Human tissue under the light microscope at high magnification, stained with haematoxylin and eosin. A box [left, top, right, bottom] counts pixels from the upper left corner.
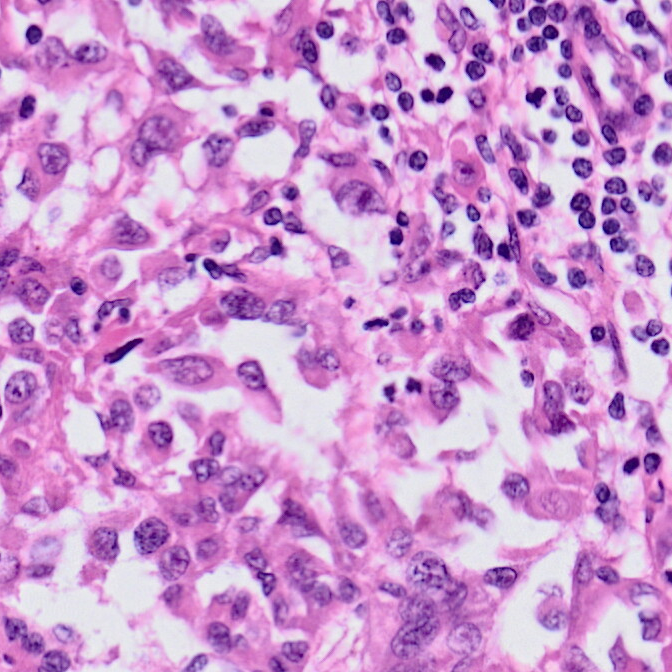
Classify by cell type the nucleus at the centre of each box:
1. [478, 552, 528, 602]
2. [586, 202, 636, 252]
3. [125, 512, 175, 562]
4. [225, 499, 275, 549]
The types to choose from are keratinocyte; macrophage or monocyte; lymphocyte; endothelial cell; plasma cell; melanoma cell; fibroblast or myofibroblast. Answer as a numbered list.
1. melanoma cell
2. lymphocyte
3. melanoma cell
4. melanoma cell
